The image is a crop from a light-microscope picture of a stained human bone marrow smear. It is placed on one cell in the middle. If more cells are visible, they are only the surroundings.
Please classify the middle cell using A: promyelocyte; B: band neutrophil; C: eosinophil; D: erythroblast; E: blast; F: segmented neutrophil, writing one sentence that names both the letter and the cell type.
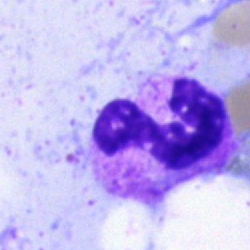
Option F is accurate; the centrally placed cell is a segmented neutrophil.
